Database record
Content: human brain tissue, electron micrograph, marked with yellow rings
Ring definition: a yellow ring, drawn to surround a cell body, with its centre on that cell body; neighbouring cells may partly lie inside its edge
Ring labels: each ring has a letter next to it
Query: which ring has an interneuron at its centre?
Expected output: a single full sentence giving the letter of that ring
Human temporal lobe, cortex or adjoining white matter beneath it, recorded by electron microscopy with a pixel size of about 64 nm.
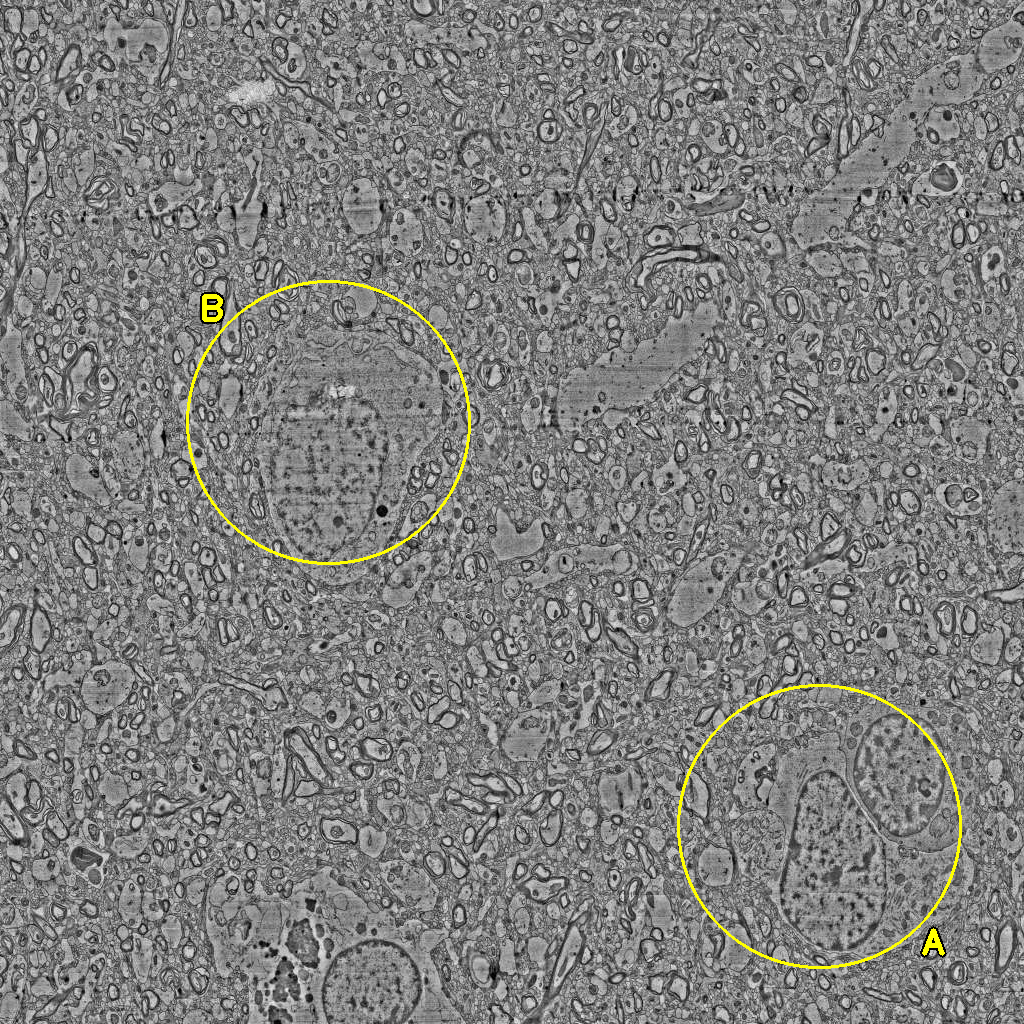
In the picture, the cell being queried lies at the centre of ring B.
